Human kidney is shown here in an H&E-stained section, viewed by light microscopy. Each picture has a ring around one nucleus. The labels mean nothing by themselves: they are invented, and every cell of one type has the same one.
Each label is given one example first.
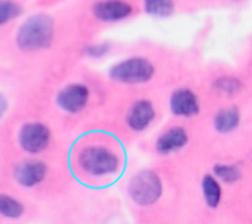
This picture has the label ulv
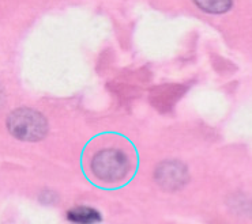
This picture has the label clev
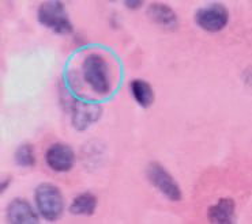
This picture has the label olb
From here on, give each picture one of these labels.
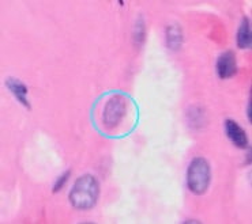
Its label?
ulv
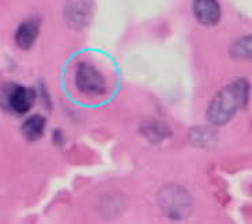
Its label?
ulv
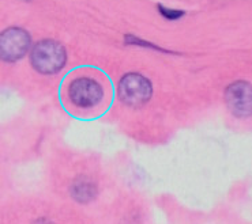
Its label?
clev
